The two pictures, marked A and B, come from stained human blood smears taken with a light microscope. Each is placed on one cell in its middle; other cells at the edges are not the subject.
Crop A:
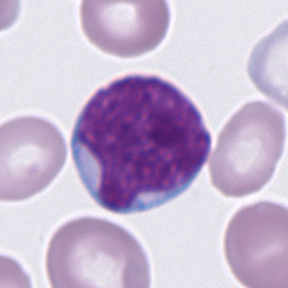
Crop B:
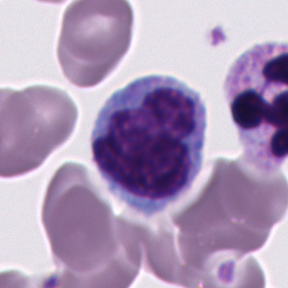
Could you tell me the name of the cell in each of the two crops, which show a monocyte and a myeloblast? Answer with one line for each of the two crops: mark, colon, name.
A: myeloblast
B: monocyte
